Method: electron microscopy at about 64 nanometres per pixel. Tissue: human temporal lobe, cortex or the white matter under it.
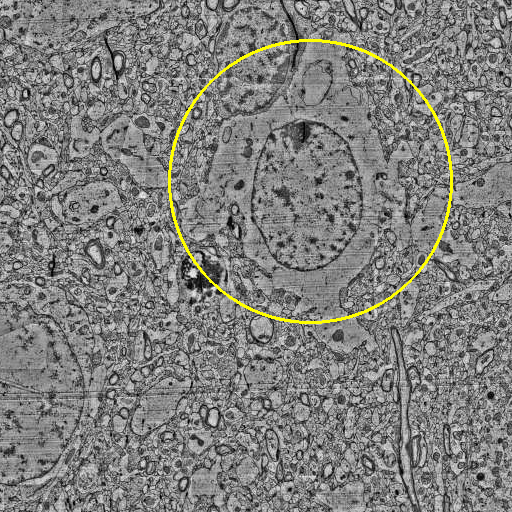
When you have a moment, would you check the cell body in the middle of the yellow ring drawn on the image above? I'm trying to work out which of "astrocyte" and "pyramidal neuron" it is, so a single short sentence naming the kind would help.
This cell body belongs to an astrocyte.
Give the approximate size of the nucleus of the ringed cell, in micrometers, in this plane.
In this plane the nucleus is about 9 micrometres by 7.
